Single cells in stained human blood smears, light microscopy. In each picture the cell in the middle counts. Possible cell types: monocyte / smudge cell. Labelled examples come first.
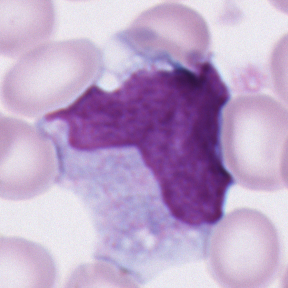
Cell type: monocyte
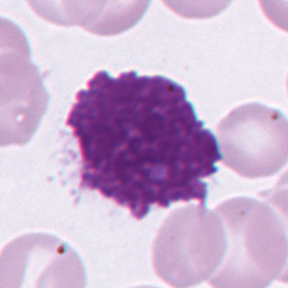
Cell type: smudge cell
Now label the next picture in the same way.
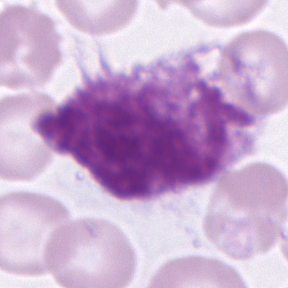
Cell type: smudge cell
